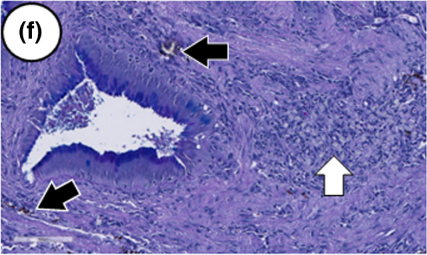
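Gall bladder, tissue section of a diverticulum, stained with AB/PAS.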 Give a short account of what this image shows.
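A small lumen is lined by tall columnar epithelium whose apical edge stains blue-purple, with debris inside the lumen. Around it the wall is pale purple connective tissue with scattered nuclei. At the right a dense patch of small, closely packed cells crowds the stroma. Small dark brown to black pigmented spots sit in the connective tissue near the lining.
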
